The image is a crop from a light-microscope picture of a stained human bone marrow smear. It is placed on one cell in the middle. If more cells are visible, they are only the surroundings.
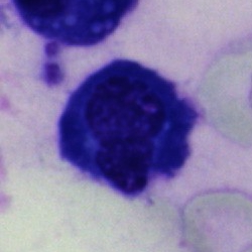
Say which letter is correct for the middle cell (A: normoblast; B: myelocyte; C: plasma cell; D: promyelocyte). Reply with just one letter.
C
